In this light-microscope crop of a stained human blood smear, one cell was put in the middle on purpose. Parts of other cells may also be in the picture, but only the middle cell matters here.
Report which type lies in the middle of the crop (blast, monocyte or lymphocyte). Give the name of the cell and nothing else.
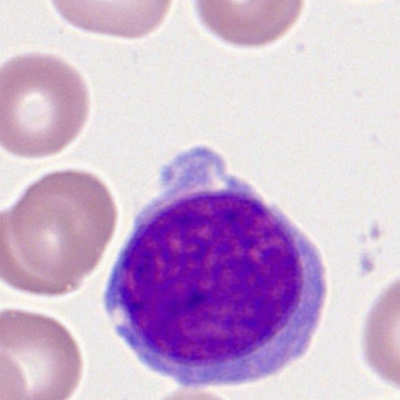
blast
